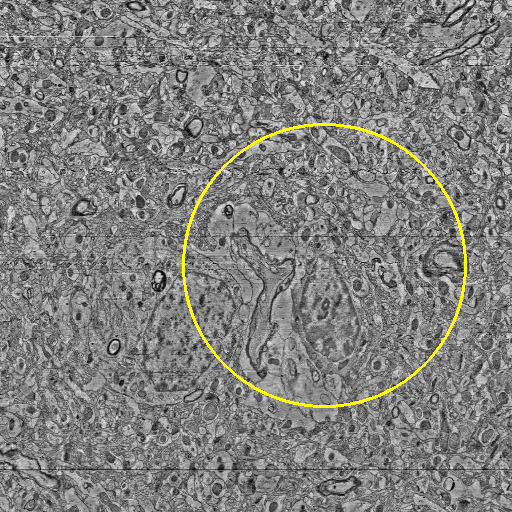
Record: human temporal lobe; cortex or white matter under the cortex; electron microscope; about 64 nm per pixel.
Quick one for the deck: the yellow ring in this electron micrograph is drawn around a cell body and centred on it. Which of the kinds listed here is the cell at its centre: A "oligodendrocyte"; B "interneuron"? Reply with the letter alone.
A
